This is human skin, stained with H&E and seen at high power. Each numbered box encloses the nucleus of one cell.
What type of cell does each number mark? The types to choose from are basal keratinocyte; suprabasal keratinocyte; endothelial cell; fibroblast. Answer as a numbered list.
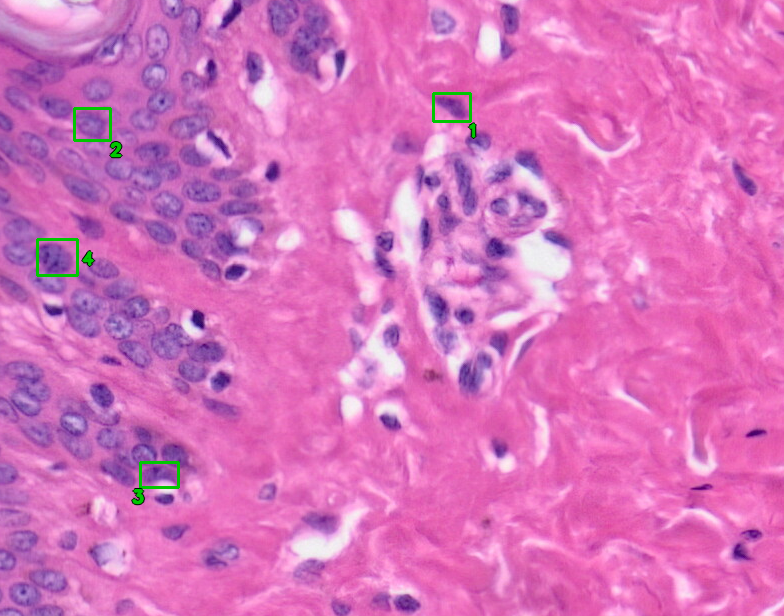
1. fibroblast
2. suprabasal keratinocyte
3. basal keratinocyte
4. basal keratinocyte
